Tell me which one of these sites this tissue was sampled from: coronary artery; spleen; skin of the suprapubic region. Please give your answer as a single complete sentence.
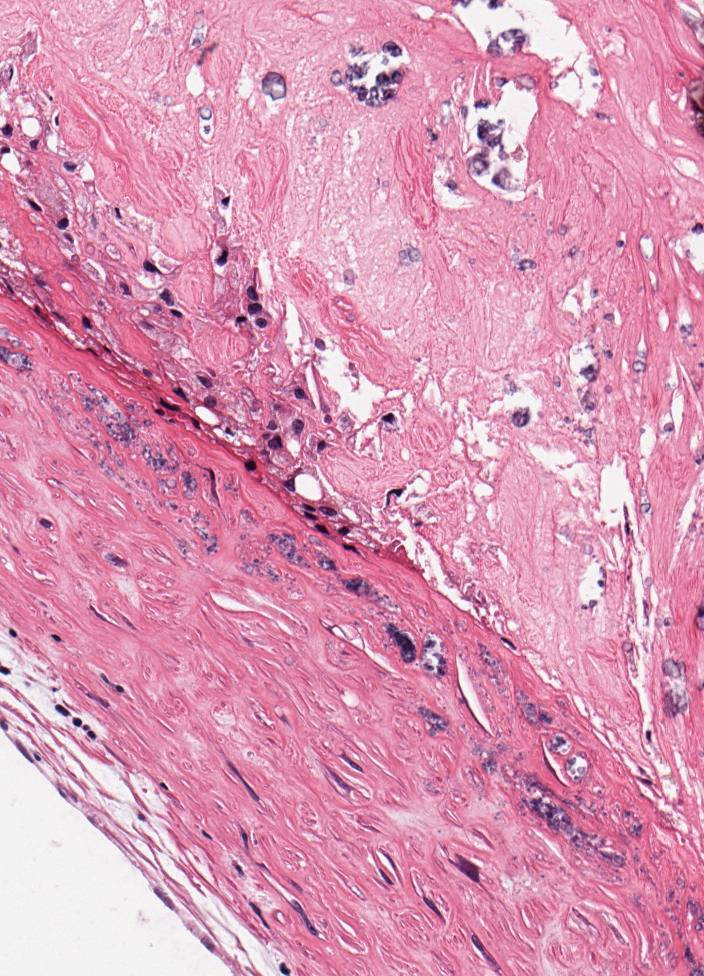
From the coronary artery this tissue was sampled.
